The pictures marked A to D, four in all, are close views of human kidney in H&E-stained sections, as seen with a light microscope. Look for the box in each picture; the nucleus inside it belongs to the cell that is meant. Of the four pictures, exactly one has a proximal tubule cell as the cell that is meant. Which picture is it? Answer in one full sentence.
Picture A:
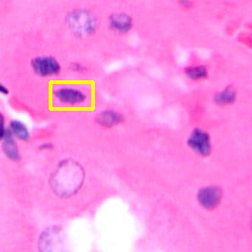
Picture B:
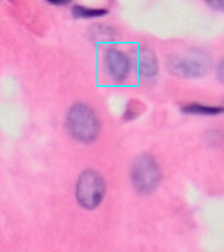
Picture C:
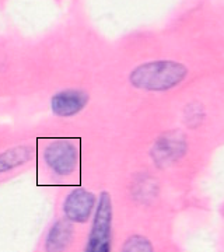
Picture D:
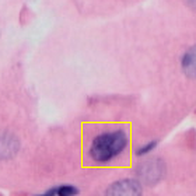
Picture D is the one that shows the proximal tubule cell.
